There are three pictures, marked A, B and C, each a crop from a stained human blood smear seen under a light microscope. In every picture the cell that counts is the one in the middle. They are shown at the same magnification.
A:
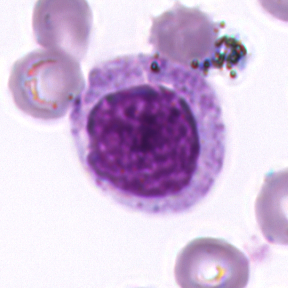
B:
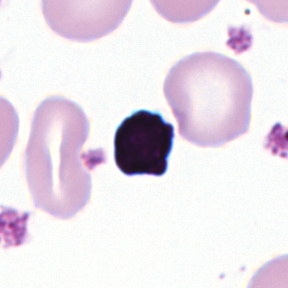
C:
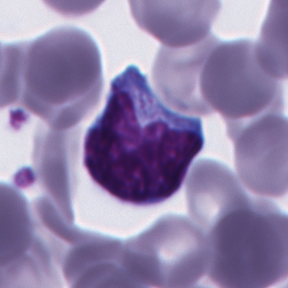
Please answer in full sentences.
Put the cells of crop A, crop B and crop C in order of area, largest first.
From the largest down, the order is A, C, B.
